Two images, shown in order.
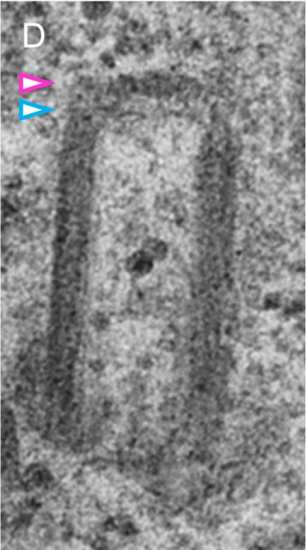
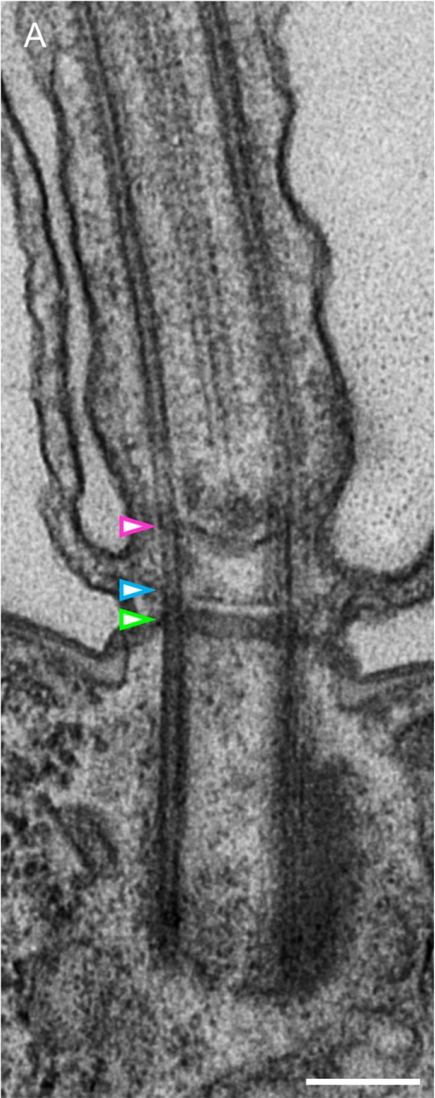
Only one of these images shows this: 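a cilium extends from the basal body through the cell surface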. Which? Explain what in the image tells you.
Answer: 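First image: a closed cylinder capped at its top, lying in cytoplasm with no shaft extending beyond it. Second image: the cylinder continues into a long shaft surrounded by membrane projecting above the cell surface.
Conclusion: the second image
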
